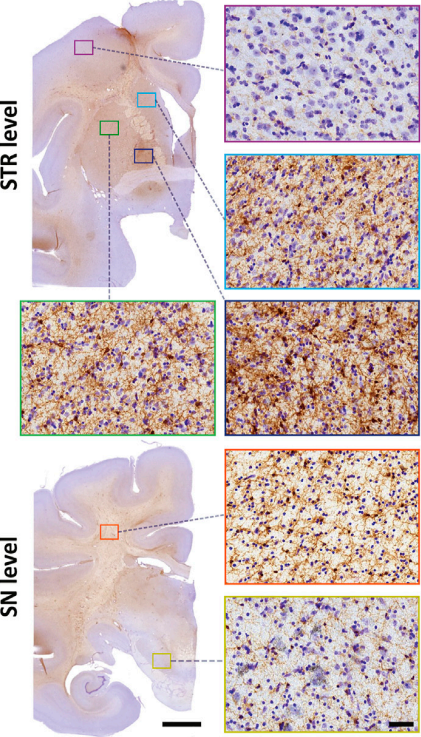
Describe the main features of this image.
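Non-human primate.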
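These are coronal sections through one half of a monkey brain, with the folded cortex around the outside and the deep grey masses in the middle. Small coloured boxes mark areas that are shown enlarged beside the sections. In the enlargements, blue-stained nuclei lie scattered through pale neuropil. In the deep grey matter at the upper level, a dense brown meshwork of fine, fibre-like processes runs between the nuclei, so these fields look dark brown. The cortical field is mostly pale, with only a faint brown tinge. At the lower level, brown processes are scattered through the field, while the lowest field is mainly pale with few brown structures.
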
